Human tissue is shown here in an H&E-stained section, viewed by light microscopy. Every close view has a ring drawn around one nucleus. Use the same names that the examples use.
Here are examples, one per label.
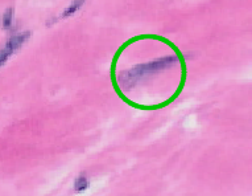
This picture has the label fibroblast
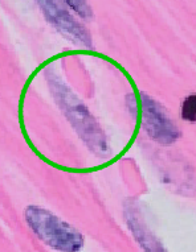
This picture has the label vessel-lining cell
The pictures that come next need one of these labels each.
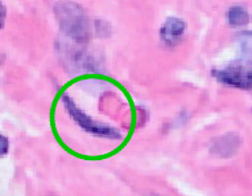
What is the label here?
vessel-lining cell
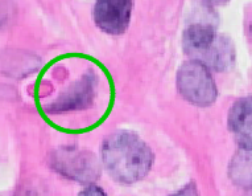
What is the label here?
vessel-lining cell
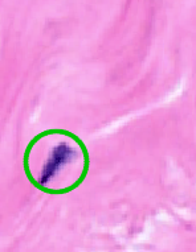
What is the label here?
fibroblast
